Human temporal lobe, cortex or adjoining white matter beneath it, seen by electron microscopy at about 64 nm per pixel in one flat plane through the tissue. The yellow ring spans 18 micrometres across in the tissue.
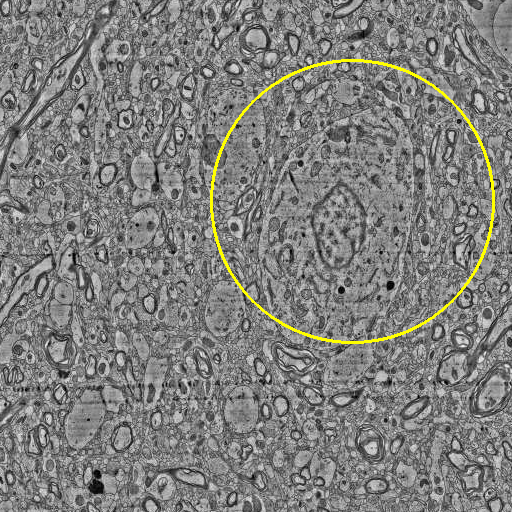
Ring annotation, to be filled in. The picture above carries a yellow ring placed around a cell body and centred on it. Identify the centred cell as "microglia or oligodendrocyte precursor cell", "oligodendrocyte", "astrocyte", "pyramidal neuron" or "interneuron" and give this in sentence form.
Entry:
The cell in the middle of the ring is a pyramidal neuron.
